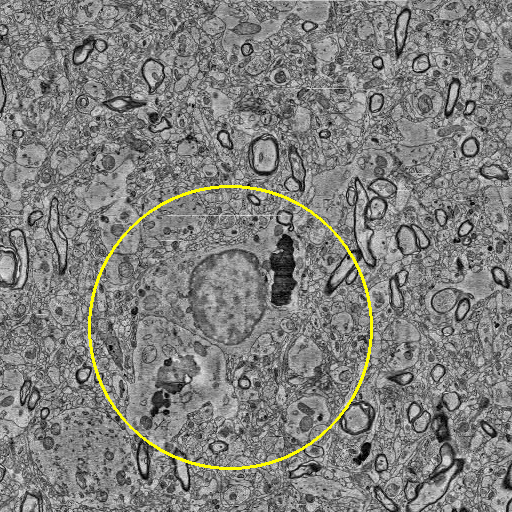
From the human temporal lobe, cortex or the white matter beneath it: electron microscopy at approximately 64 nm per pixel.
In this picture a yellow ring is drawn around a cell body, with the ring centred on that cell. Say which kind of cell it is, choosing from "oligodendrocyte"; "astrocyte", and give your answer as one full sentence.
Here it is an oligodendrocyte that sits at the centre of the drawn yellow ring.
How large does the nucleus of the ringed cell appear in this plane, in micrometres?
In this plane, about 6 micrometres in length and 5 in width.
